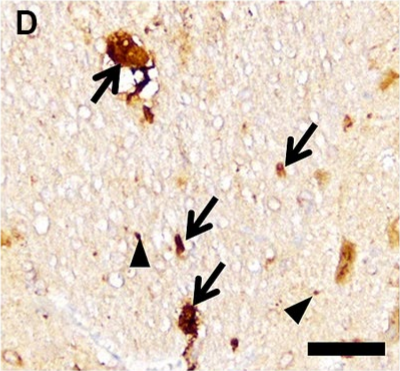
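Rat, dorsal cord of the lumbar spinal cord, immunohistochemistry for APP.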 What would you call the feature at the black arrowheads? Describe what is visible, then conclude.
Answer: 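Arrowheads point at small brown dots no larger than nearby axon profiles.
Answer: non-swollen axons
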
